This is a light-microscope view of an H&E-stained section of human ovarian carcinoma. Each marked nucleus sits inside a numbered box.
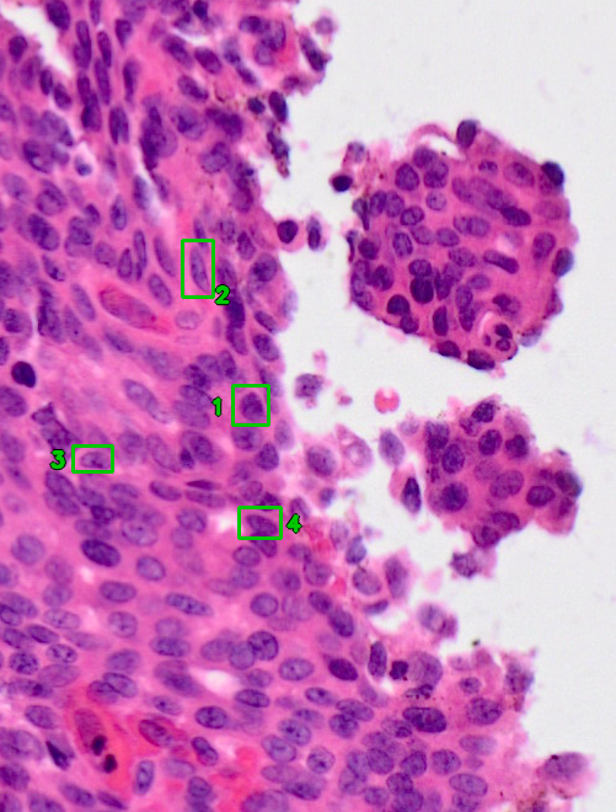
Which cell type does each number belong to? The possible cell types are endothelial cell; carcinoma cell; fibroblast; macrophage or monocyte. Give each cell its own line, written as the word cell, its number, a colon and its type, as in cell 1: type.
cell 1: carcinoma cell
cell 2: endothelial cell
cell 3: macrophage or monocyte
cell 4: carcinoma cell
